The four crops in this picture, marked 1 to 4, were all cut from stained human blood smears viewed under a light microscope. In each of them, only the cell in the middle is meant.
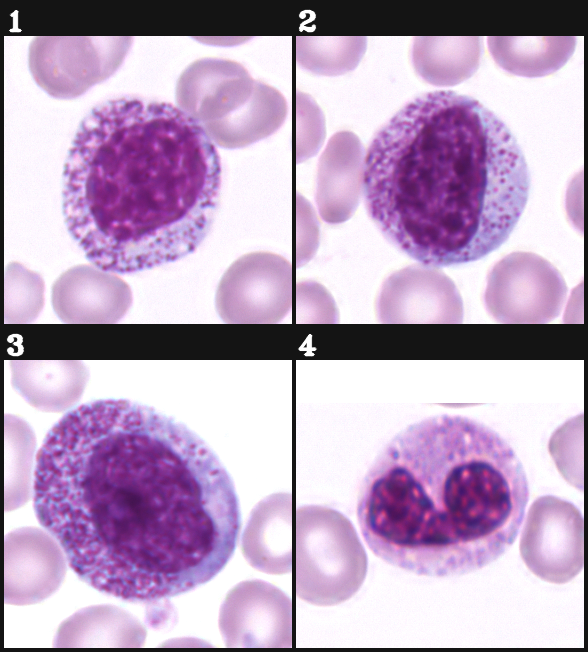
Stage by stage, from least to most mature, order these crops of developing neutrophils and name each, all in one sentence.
Sequenced by maturity from least to most, the crops are crop 3 (a promyelocyte), crop 1 (a myelocyte), crop 2 (a metamyelocyte) and crop 4 (a band neutrophil).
